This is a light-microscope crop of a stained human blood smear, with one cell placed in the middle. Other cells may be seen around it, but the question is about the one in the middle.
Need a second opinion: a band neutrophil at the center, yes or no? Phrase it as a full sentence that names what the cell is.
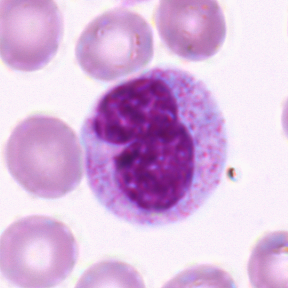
Yes, a band neutrophil is present in the middle of the crop.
